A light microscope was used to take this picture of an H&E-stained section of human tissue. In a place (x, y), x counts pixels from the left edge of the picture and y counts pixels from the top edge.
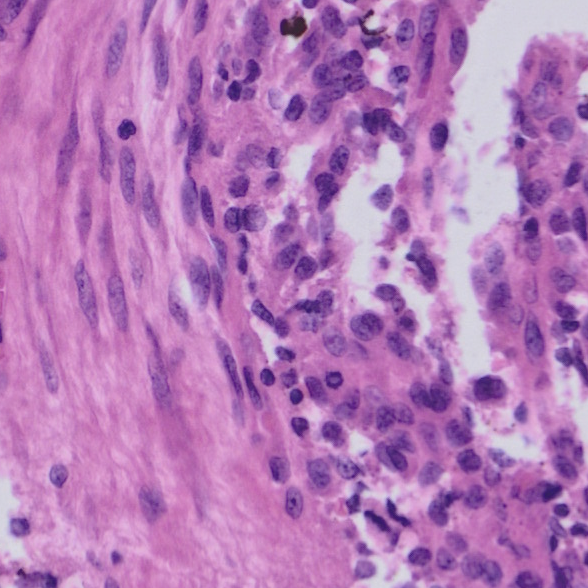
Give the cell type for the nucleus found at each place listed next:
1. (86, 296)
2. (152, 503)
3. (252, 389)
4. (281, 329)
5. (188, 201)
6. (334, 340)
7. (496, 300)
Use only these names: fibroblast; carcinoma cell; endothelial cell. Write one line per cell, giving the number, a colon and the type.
1: fibroblast
2: fibroblast
3: endothelial cell
4: carcinoma cell
5: endothelial cell
6: carcinoma cell
7: carcinoma cell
